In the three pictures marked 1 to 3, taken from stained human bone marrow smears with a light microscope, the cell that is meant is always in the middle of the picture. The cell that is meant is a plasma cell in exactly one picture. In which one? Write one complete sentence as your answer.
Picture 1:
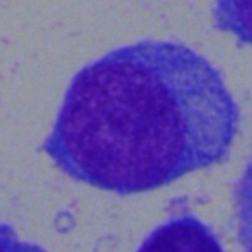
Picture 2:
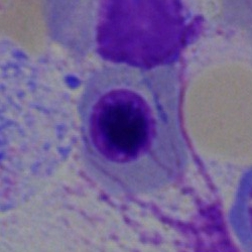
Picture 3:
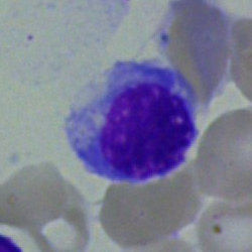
The picture with the plasma cell is 1.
